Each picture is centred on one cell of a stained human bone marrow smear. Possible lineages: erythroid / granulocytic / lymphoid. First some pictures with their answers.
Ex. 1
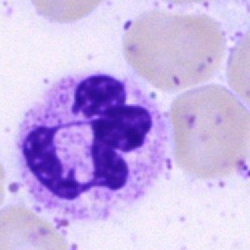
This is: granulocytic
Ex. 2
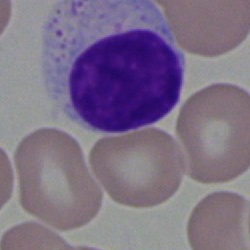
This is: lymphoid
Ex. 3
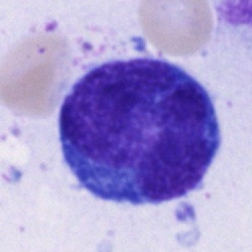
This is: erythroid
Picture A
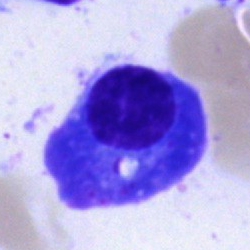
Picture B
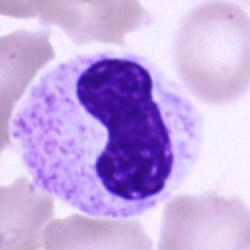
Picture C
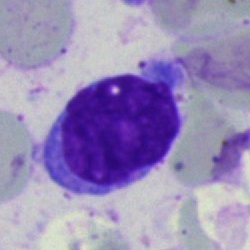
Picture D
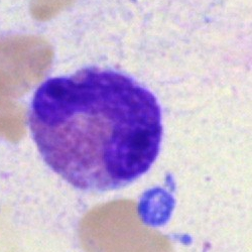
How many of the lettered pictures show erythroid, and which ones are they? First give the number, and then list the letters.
0, none of them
